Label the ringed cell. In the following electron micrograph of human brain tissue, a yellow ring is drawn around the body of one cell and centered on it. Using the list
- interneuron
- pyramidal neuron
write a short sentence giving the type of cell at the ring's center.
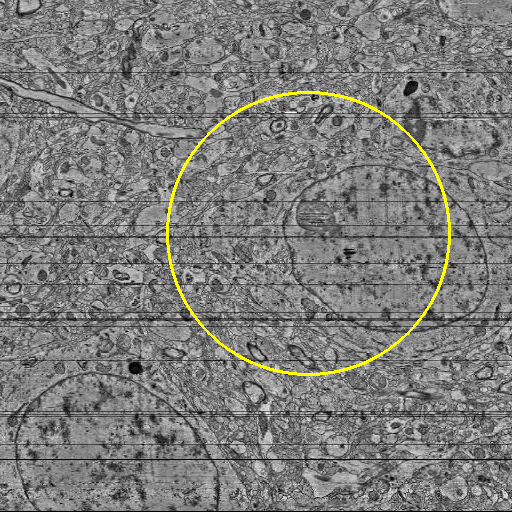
The cell body at the ring's center is that of a pyramidal neuron.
